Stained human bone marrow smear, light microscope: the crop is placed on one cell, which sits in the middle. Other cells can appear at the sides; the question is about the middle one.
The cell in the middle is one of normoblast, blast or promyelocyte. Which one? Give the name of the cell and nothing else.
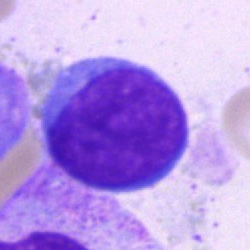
blast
